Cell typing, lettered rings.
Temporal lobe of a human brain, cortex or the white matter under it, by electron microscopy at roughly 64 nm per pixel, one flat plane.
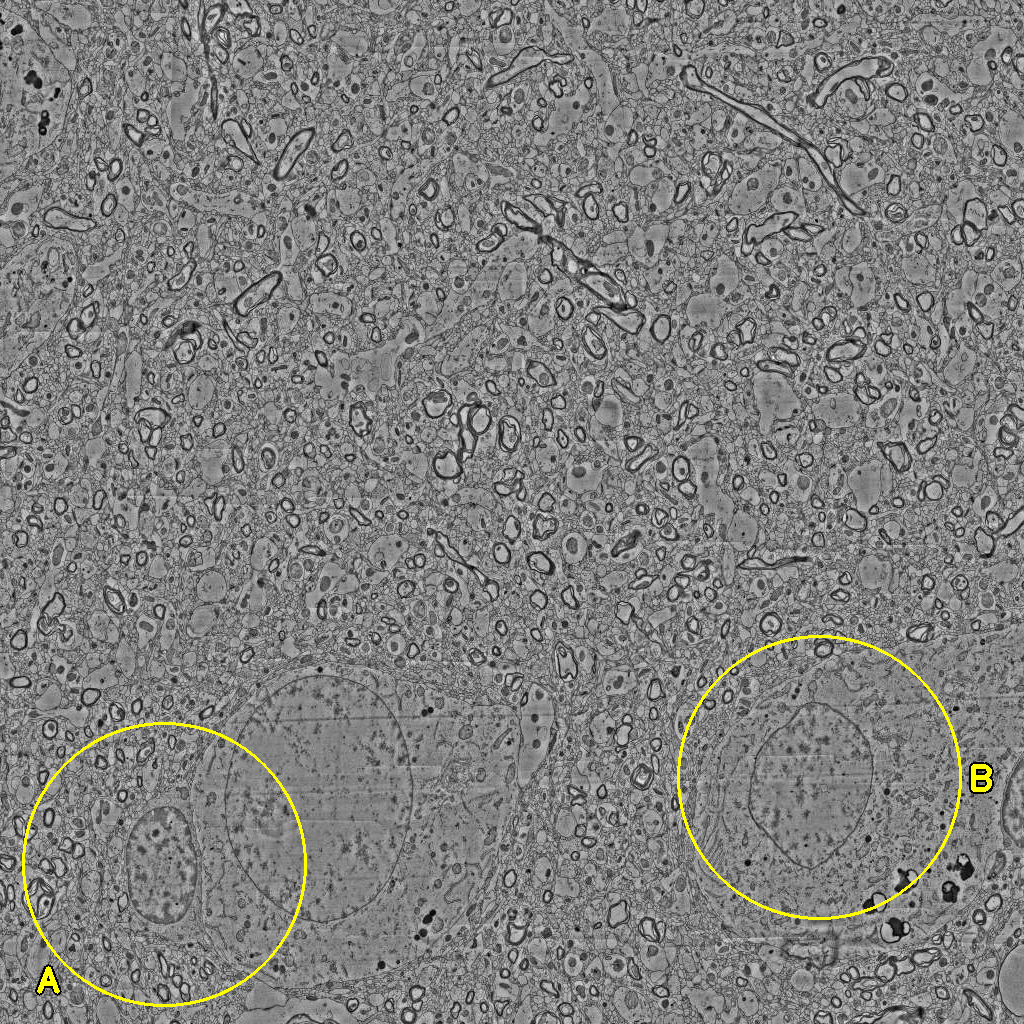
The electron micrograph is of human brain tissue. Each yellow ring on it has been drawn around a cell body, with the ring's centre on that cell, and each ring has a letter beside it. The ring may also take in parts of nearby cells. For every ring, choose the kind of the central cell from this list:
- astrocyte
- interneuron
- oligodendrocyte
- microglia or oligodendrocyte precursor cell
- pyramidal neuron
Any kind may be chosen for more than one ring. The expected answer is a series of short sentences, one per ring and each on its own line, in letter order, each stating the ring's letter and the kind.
For ring A, the centred cell is an oligodendrocyte.
For ring B, the centred cell is a pyramidal neuron.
